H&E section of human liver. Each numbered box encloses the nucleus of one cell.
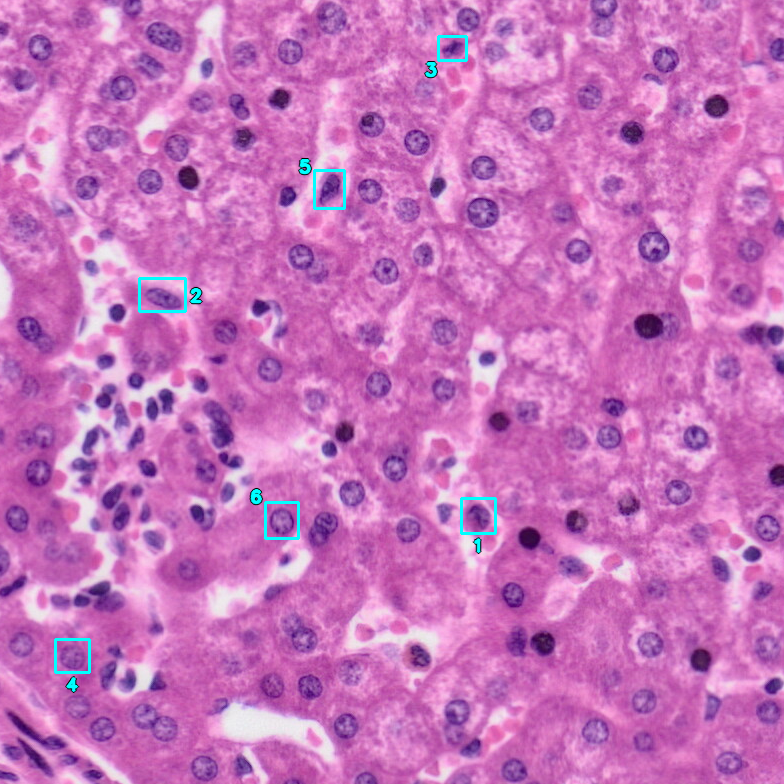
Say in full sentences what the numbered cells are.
Cells 1, 2 and 5 are Kupffer cells. Cell 3 is a fibroblast or stellate cell. Cells 4 and 6 are hepatocytes.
